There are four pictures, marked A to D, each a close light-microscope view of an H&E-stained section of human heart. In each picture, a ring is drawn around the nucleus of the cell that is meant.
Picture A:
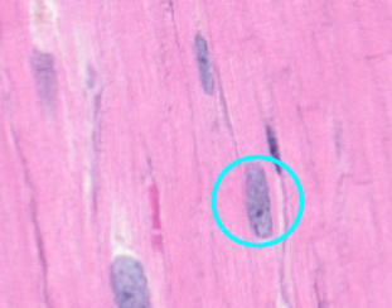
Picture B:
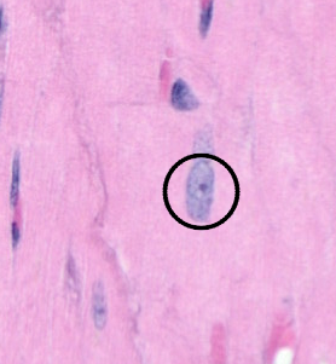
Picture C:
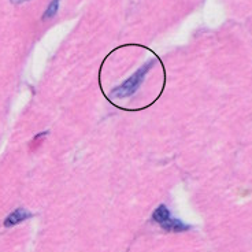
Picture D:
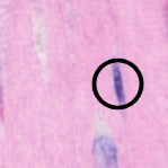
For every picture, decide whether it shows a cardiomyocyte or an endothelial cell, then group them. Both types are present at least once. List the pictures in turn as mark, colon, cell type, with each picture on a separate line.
A: cardiomyocyte
B: cardiomyocyte
C: endothelial cell
D: endothelial cell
